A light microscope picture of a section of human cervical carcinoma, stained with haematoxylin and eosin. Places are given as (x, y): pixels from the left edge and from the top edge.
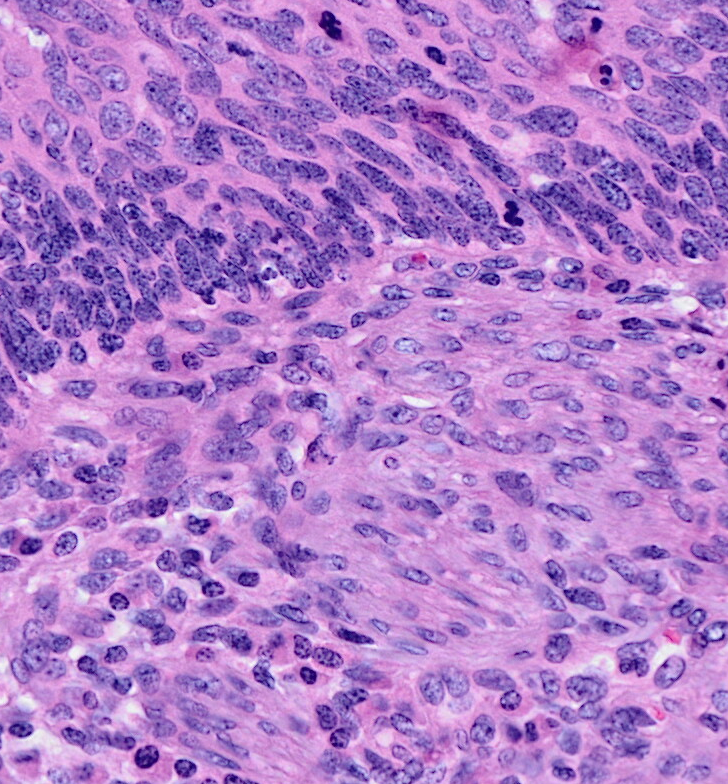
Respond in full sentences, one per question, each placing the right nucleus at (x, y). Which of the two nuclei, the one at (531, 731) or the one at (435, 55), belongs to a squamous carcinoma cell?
Of the two options, the nucleus at (435, 55) is the one that belongs to a squamous carcinoma cell.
